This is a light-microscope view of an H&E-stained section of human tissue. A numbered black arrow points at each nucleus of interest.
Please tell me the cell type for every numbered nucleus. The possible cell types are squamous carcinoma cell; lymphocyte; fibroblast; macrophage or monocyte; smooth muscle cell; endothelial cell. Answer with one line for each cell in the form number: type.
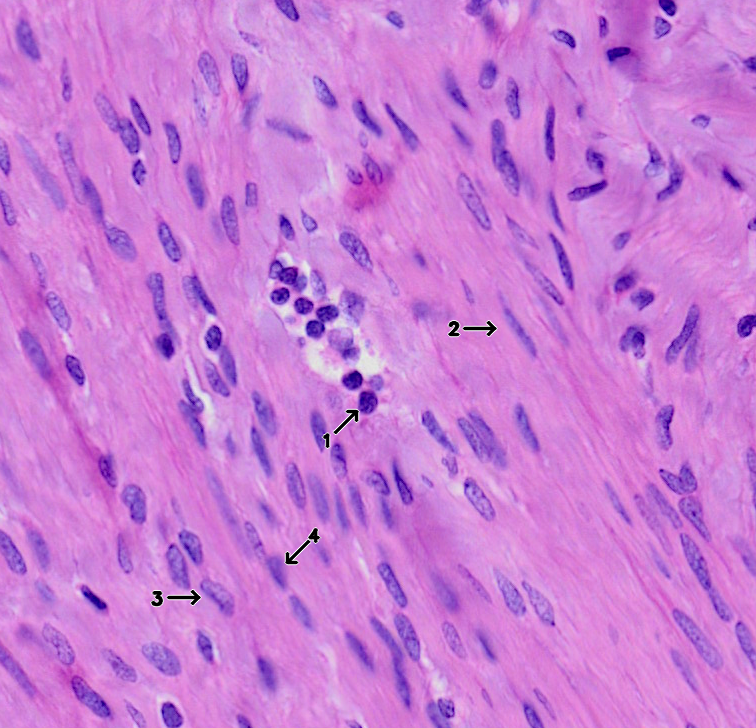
1: lymphocyte
2: fibroblast
3: fibroblast
4: fibroblast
